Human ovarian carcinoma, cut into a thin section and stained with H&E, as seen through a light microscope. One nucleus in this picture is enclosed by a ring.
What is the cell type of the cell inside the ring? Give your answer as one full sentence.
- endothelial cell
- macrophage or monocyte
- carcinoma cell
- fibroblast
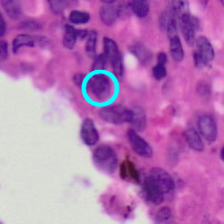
The cell inside the ring is a carcinoma cell.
